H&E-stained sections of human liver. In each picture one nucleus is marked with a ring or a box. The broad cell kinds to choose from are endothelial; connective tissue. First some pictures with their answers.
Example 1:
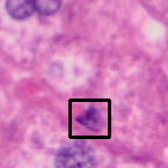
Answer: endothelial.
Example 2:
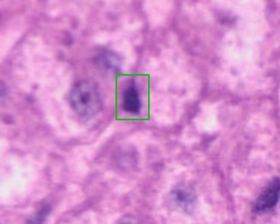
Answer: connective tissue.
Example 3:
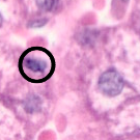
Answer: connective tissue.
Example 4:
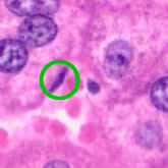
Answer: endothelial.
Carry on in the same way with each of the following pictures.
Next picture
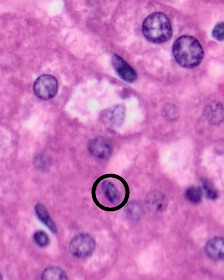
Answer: connective tissue.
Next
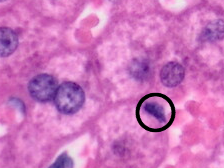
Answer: connective tissue.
